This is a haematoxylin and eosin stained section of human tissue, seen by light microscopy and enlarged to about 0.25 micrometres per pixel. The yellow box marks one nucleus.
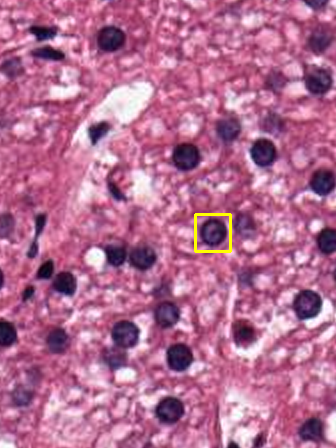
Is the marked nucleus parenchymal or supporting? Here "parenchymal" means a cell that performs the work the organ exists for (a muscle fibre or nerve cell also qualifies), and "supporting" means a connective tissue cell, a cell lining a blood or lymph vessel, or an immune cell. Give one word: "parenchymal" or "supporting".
parenchymal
